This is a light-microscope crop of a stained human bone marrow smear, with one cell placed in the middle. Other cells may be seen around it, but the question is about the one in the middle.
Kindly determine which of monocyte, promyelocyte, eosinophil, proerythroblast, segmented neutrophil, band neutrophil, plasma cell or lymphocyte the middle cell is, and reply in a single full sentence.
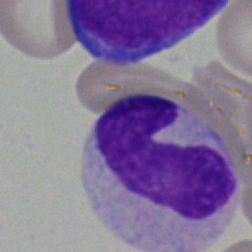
The middle position in this crop is taken by a band neutrophil.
